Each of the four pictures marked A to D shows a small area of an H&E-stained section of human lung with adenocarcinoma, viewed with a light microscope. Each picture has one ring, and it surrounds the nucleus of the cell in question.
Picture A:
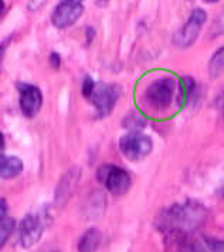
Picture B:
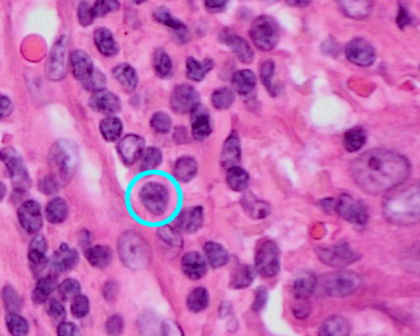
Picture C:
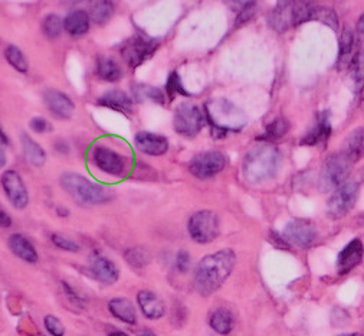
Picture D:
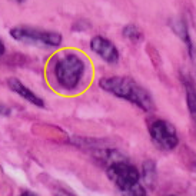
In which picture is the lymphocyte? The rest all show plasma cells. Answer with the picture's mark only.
B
